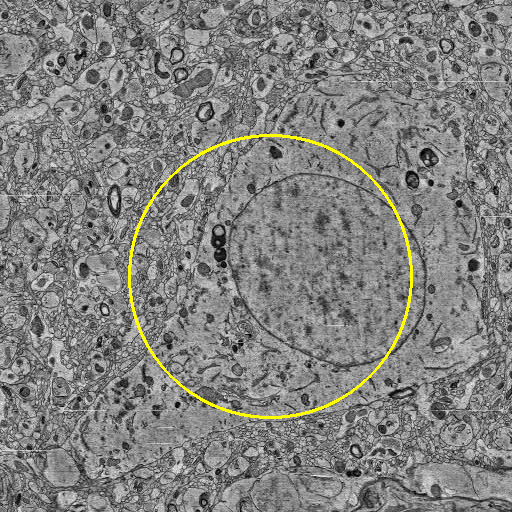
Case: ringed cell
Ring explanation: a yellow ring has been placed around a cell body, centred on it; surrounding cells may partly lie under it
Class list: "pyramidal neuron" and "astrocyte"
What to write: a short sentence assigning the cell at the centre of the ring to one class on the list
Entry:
The cell at the ring's centre is a pyramidal neuron.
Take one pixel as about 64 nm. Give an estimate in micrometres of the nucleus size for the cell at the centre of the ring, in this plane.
In this plane, the nucleus is roughly 14 by 12 micrometres.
